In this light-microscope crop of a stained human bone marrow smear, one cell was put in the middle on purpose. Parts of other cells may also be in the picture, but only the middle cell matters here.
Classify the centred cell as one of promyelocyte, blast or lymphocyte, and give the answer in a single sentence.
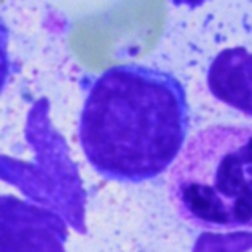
The cell in the middle of the field of view is a lymphocyte.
